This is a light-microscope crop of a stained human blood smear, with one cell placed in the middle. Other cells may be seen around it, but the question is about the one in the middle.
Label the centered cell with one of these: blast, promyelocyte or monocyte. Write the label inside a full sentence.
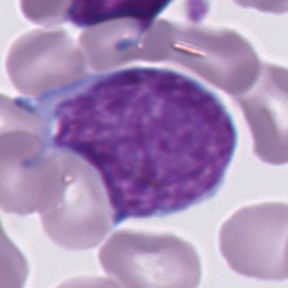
For this crop, the cell in the middle is a blast.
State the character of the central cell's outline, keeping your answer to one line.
The periphery of this cell is uneven, with ragged portions or projections.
